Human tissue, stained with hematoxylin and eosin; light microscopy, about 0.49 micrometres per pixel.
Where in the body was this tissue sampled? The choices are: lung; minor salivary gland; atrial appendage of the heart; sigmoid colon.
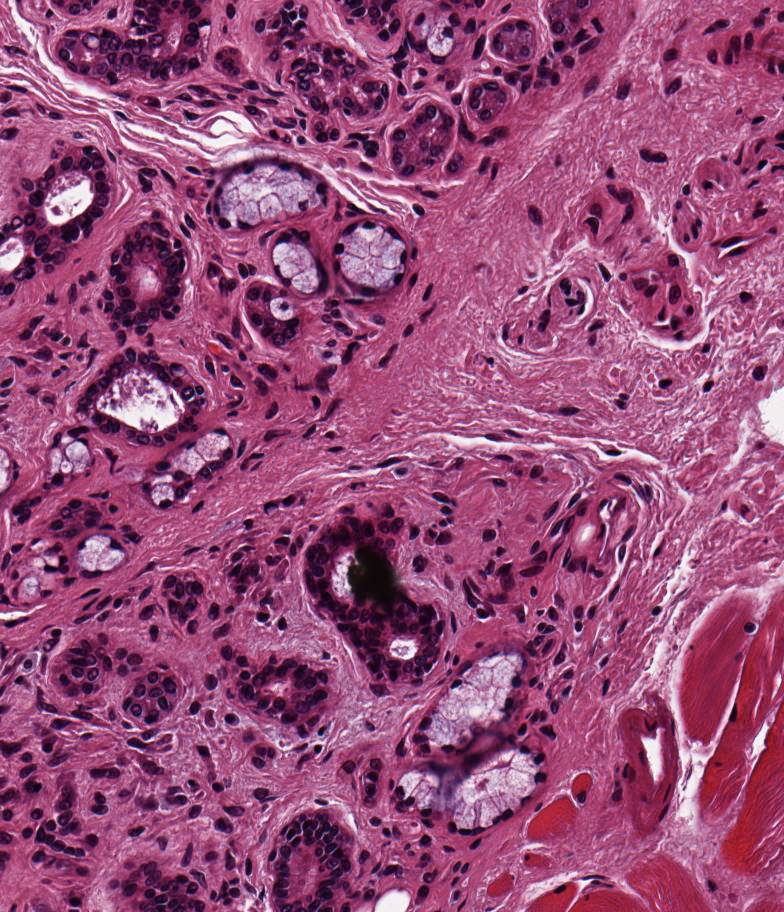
minor salivary gland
